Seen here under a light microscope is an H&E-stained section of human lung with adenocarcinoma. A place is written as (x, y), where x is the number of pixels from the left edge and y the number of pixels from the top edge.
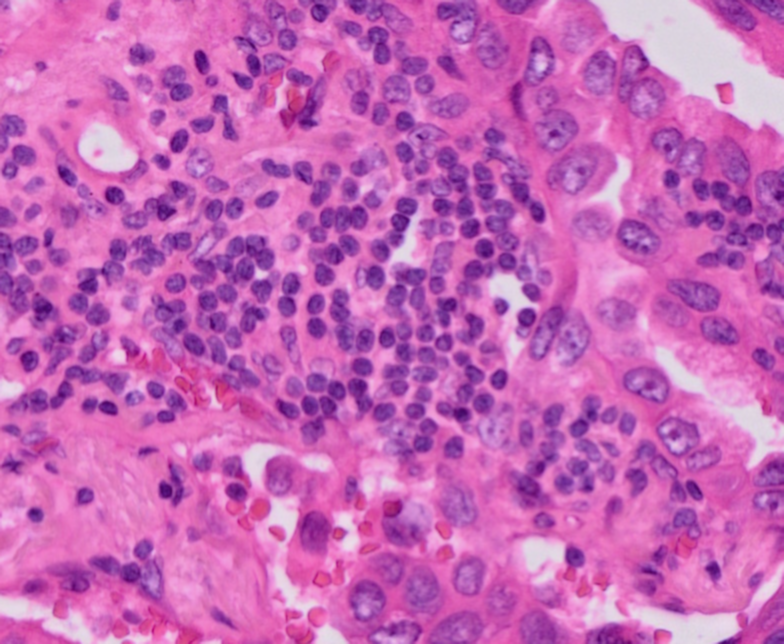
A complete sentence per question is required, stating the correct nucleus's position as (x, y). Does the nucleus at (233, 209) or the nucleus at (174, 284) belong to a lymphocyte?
The correct choice is the nucleus at (233, 209), which belongs to a lymphocyte.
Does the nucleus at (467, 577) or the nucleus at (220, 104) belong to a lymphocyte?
As for which of the two, the nucleus at (220, 104) belongs to a lymphocyte.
